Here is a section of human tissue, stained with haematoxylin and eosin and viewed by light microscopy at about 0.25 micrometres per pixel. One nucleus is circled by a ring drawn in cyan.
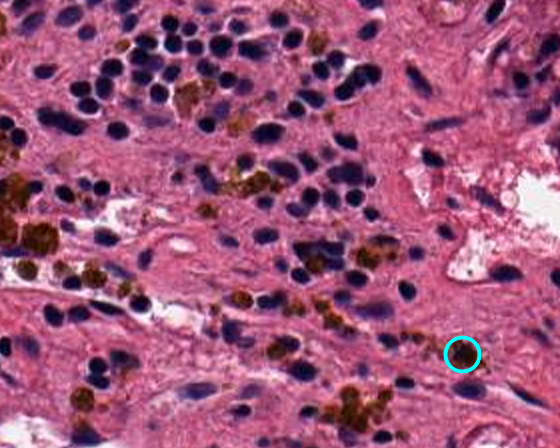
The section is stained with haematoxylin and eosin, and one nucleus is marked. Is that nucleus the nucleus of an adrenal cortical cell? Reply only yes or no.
no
